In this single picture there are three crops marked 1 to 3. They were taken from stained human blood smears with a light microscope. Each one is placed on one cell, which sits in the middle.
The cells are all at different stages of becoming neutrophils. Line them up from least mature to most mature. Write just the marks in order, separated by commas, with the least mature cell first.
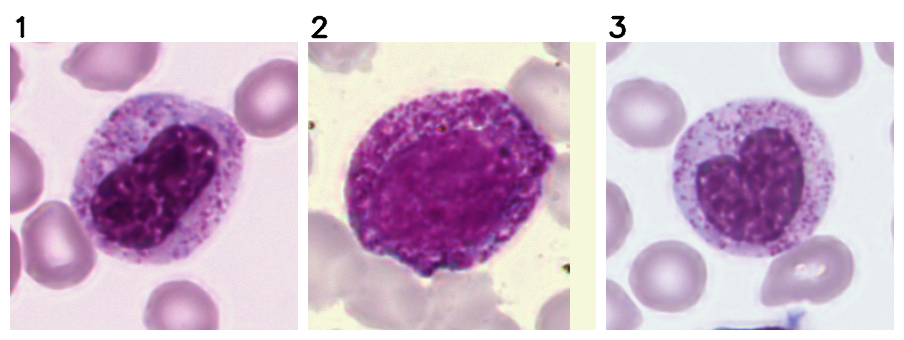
2, 1, 3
